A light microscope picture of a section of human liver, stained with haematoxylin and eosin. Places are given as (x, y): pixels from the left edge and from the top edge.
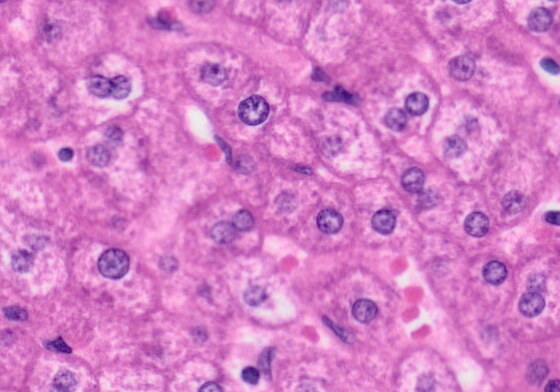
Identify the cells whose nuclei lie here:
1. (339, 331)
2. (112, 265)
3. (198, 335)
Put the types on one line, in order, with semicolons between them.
Kupffer cell; hepatocyte; hepatocyte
